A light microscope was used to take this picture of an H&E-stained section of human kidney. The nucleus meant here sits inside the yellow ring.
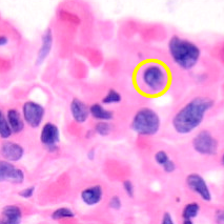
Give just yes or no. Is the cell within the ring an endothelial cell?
yes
